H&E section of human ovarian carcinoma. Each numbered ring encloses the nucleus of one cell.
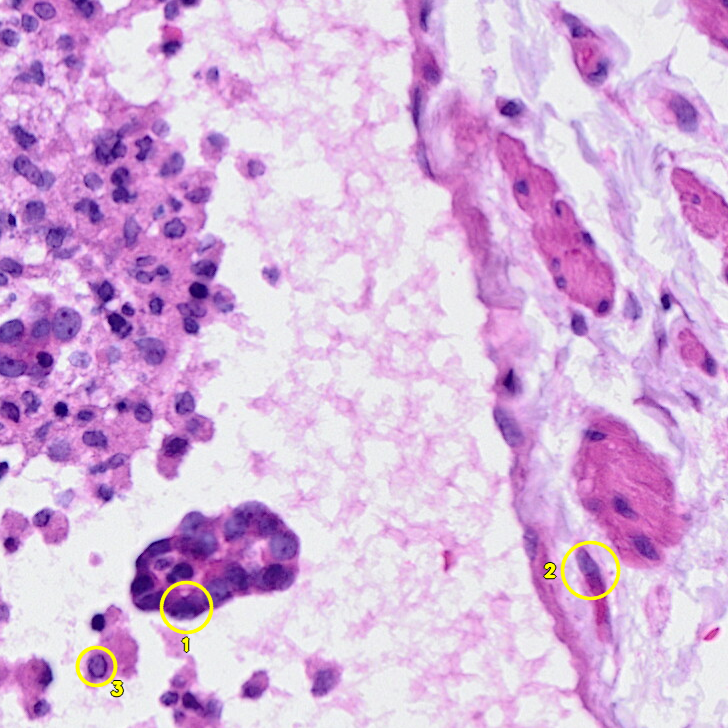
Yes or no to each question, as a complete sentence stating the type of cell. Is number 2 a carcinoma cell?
No, the cell with the number 2 is an endothelial cell, not a carcinoma cell.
